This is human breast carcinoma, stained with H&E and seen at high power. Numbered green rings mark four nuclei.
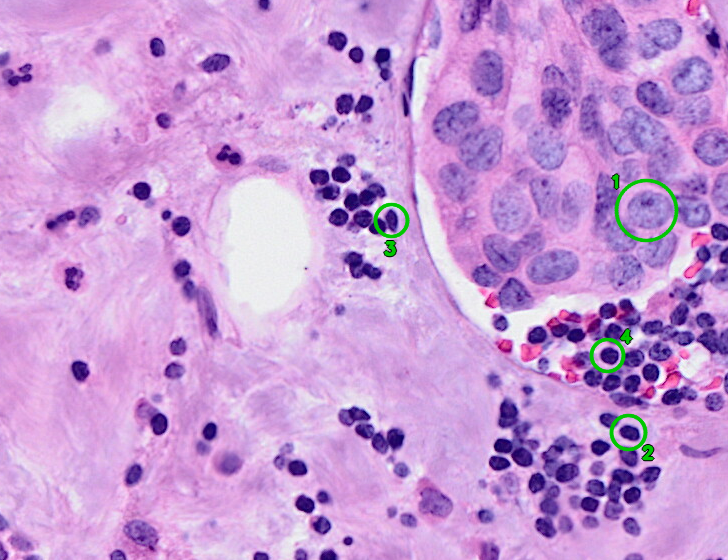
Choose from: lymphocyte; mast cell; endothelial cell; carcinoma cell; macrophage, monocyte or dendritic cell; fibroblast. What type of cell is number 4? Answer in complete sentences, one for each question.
Nucleus 4 in this section belongs to a lymphocyte.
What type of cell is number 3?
The nucleus marked 3 is the nucleus of a lymphocyte.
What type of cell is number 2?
Corresponding to a lymphocyte is the cell labelled 2.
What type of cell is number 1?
The identity of cell 1 is that of a carcinoma cell.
